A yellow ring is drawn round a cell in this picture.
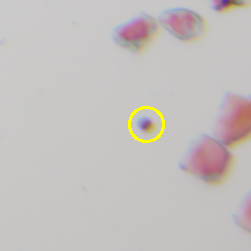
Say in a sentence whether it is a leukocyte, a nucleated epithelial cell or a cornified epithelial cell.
The cell in the ring is a leukocyte.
